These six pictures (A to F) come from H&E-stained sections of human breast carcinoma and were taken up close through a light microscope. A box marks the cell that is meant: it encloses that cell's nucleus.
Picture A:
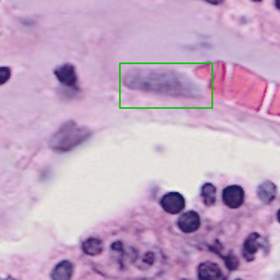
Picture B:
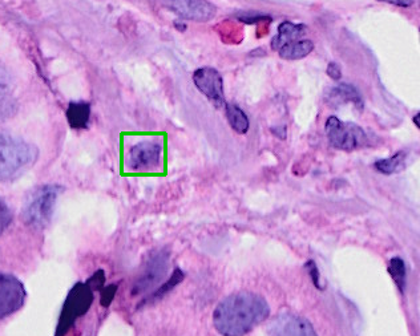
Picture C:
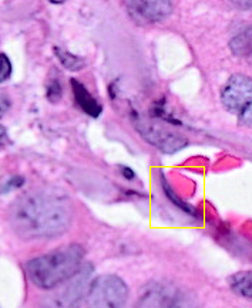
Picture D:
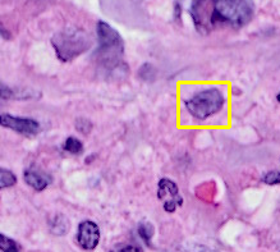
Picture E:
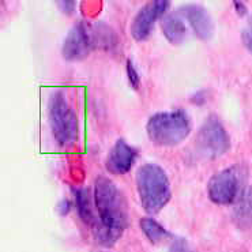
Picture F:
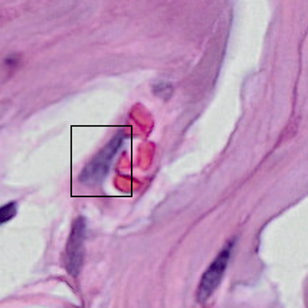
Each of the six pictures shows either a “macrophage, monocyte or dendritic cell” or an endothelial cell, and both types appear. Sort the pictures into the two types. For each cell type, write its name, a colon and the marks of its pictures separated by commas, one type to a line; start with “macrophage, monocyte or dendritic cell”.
macrophage, monocyte or dendritic cell: B, D
endothelial cell: A, C, E, F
